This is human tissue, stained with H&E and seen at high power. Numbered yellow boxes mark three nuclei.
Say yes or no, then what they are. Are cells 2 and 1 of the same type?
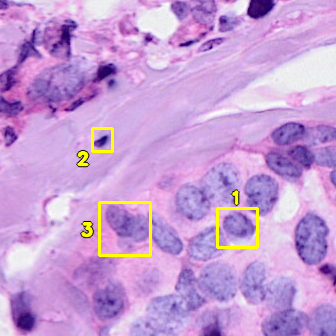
No, the cell labelled 2 is a lymphocyte; the cell labelled 1 is a carcinoma cell.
